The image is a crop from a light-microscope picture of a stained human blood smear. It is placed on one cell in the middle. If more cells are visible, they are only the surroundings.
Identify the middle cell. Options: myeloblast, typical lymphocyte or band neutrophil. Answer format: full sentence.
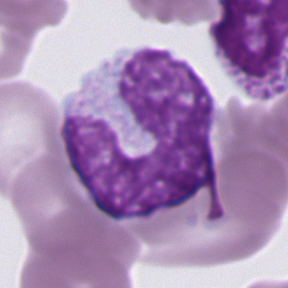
The target cell in the middle of the crop is a band neutrophil.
